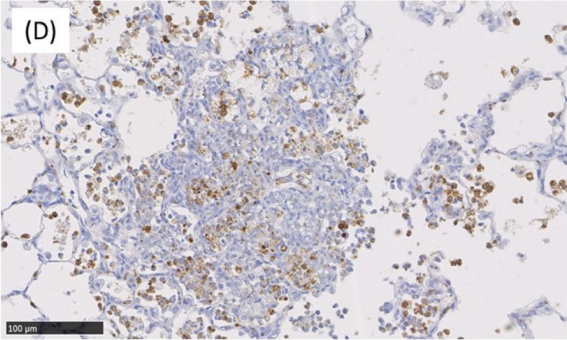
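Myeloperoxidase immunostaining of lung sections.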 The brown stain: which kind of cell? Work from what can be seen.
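Inflammatory cells. Many small round cells are stained brown. The brown cells crowd together in a dense focus that fills the alveolar spaces.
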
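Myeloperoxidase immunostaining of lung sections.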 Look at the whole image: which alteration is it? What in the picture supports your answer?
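A dense cellular focus obliterates the normal thin-walled alveoli. Numerous round cells fill the air spaces around it. On this evidence: gathering sites of inflammatory cells.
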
